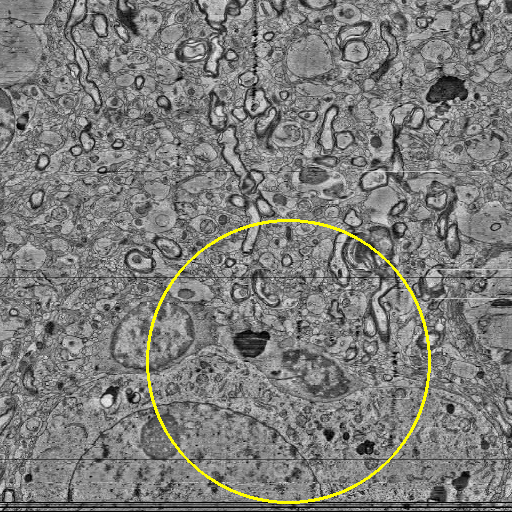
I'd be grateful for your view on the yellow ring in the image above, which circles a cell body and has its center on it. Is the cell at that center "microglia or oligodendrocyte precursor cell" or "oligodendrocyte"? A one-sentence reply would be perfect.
The cell at the center of the yellow ring is an oligodendrocyte.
